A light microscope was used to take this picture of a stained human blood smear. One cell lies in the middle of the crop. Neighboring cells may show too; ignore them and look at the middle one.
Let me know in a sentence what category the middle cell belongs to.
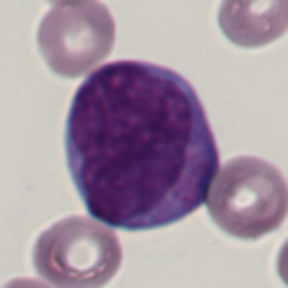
Among the cells in view, the one in the middle is an atypical promyelocyte.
